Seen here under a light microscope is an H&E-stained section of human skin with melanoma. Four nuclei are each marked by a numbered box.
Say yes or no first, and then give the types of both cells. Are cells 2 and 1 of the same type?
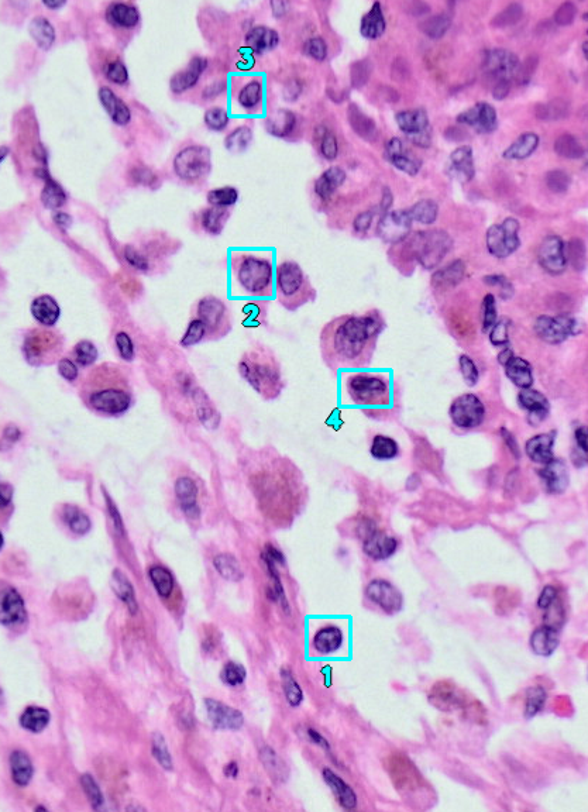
No, cell 1 is a lymphocyte, while cell 2 is a macrophage or monocyte.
